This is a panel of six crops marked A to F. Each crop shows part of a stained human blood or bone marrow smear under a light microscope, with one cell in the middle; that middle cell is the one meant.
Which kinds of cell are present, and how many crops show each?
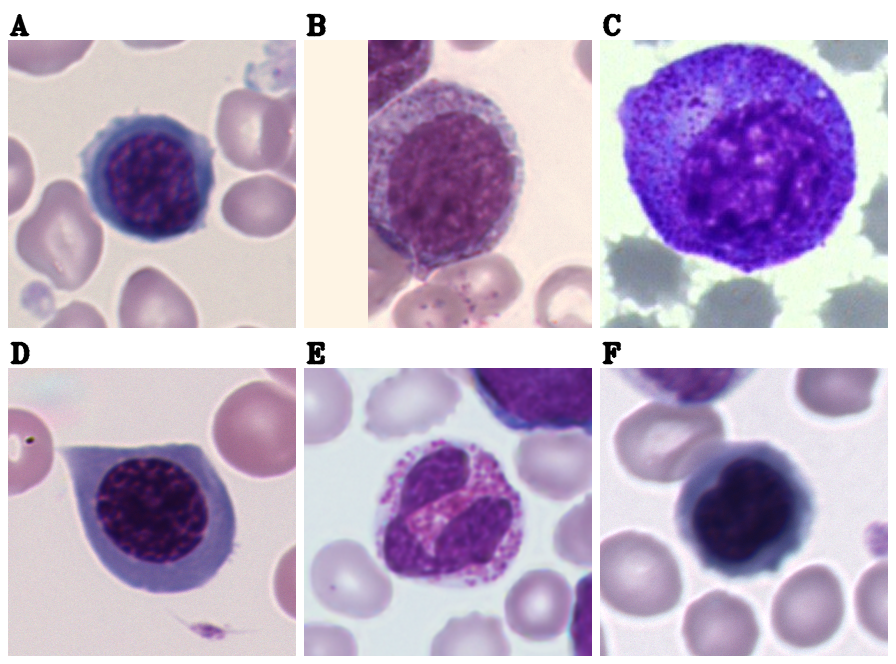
erythroblast: 3
promyelocyte: 2
eosinophil: 1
